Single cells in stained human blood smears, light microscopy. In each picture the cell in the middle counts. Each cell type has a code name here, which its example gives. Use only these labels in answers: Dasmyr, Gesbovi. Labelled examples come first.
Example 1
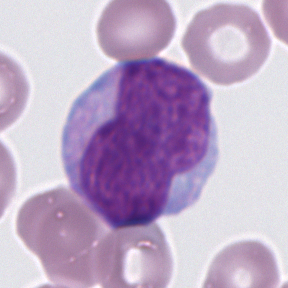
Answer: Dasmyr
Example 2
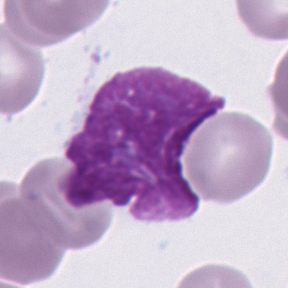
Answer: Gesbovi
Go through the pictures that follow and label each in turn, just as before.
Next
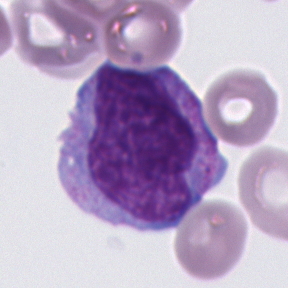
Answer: Dasmyr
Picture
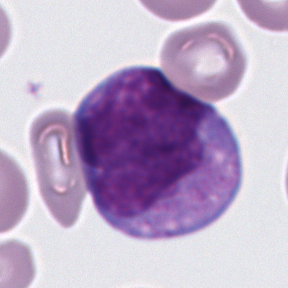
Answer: Dasmyr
